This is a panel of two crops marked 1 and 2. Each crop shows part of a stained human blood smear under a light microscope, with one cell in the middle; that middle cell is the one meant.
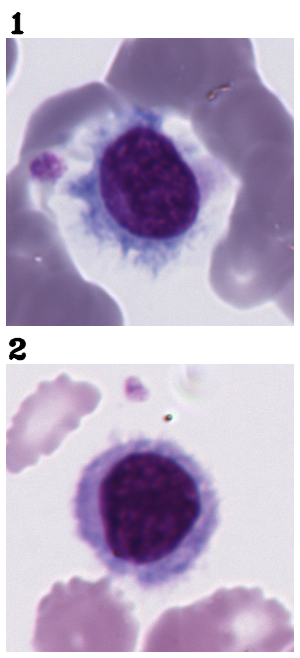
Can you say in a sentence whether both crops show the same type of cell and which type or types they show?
Yes, hairy cells are centred in both crops.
